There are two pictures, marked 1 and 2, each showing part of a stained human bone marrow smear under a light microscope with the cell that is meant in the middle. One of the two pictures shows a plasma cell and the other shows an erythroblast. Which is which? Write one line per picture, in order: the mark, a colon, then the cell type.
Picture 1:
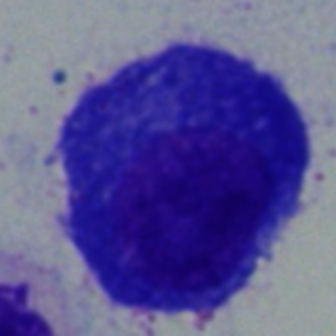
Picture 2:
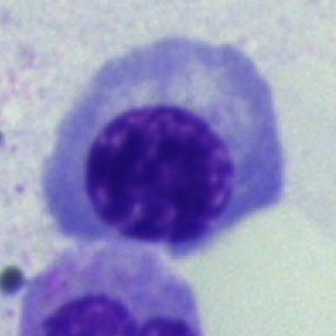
1: plasma cell
2: erythroblast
